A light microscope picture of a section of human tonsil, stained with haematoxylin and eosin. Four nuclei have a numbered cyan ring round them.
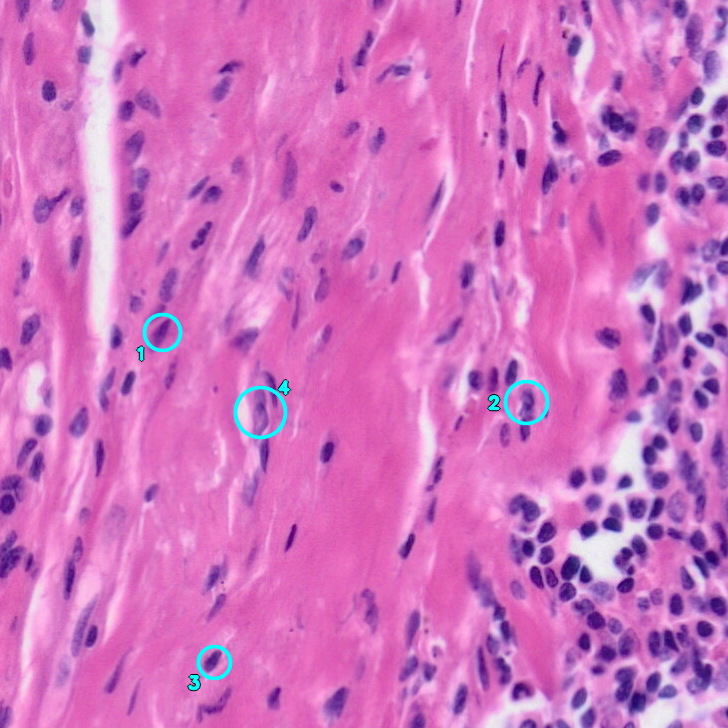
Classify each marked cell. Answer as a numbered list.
1. endothelial cell
2. mast cell
3. mast cell
4. endothelial cell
